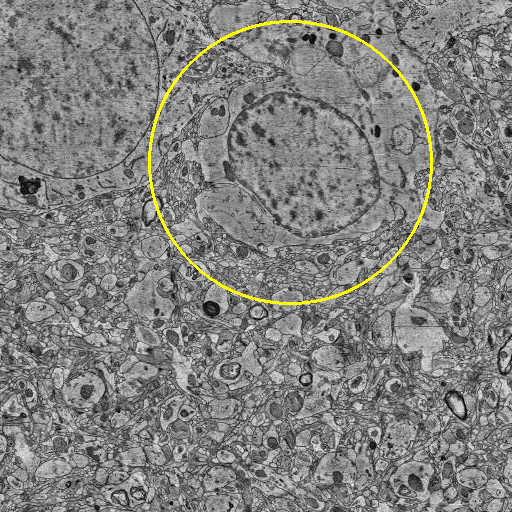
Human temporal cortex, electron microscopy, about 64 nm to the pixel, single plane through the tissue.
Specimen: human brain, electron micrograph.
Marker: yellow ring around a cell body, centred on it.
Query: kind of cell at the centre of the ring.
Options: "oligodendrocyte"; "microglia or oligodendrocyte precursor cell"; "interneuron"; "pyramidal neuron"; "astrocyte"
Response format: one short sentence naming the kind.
This cell body belongs to an astrocyte.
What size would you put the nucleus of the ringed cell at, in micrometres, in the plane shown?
In this plane the nucleus spans approximately 10 by 8 micrometers.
